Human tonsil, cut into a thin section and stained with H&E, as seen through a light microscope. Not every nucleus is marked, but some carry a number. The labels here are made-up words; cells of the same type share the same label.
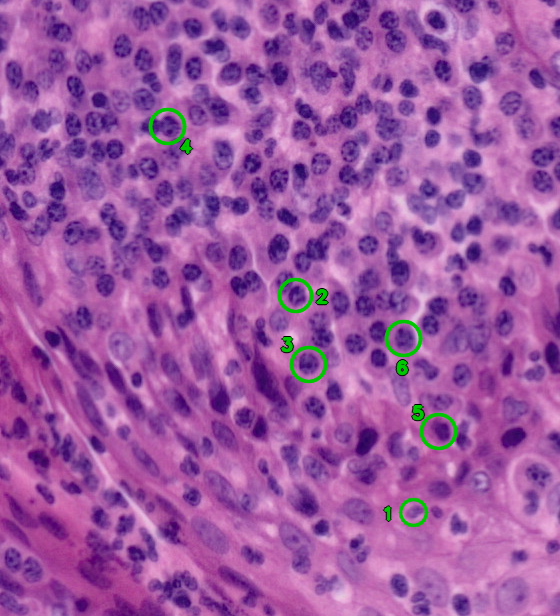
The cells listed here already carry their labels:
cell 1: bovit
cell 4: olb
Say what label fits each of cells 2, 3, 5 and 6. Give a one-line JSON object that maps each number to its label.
{"2": "olb", "3": "olb", "5": "bovit", "6": "olb"}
